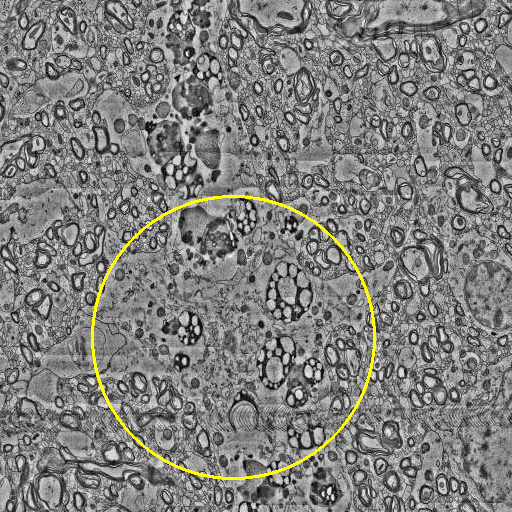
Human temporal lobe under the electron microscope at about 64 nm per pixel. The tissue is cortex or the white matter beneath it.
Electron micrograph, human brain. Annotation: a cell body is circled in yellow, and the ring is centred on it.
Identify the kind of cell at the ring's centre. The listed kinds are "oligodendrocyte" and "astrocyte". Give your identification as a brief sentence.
The circled cell body is that of an astrocyte.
